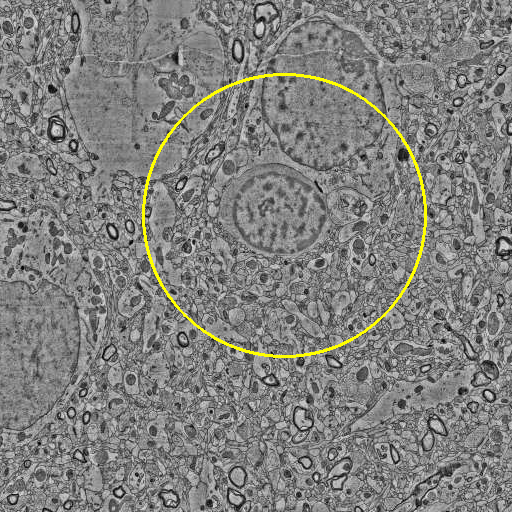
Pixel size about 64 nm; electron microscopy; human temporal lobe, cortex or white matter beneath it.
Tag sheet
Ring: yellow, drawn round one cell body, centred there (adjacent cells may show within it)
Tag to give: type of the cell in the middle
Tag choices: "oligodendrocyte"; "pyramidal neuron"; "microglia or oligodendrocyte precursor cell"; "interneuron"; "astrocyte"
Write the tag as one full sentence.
I tag the cell centred in the yellow ring as an oligodendrocyte in this picture.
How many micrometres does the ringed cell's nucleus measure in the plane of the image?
About 6 micrometers across, in this plane.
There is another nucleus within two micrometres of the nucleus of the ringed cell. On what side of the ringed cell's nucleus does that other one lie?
That other nucleus sits to the upper right of it.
